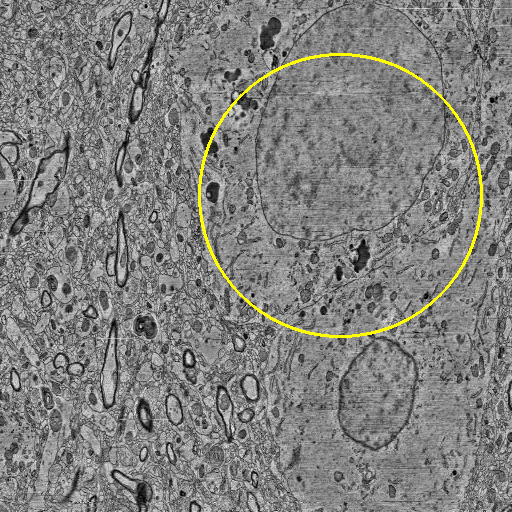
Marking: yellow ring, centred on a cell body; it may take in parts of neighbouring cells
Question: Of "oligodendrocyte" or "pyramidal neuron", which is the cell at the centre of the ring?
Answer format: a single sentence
The ring surrounds the body of a pyramidal neuron.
